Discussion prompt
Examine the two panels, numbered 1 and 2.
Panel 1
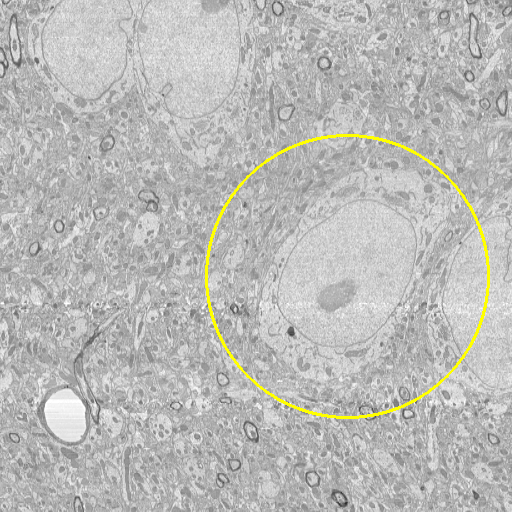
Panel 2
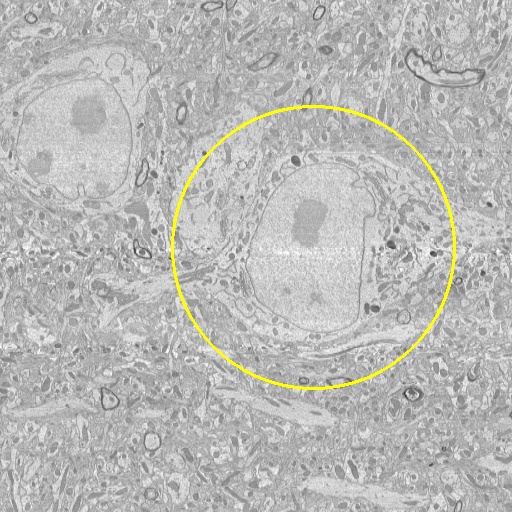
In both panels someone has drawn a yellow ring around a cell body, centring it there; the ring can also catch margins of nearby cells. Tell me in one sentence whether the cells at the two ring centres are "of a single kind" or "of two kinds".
Taken together, the two cells centred in the rings of Panels 1 and 2 are of two kinds.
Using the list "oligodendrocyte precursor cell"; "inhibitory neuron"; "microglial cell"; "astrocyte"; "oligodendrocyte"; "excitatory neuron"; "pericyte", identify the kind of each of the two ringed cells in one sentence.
The first is an excitatory neuron and the second is an inhibitory neuron.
